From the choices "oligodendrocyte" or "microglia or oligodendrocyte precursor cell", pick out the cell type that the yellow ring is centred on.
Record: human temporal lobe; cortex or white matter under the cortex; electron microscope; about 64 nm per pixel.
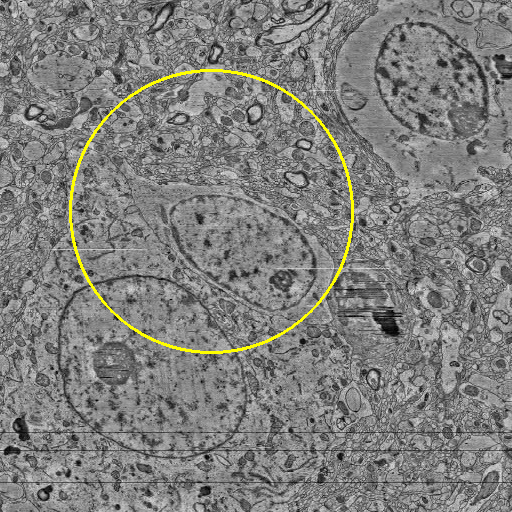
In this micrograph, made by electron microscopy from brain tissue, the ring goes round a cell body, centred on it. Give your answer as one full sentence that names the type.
The yellow ring is centred on a microglial cell or oligodendrocyte precursor cell, whose cell body it encircles in the picture.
